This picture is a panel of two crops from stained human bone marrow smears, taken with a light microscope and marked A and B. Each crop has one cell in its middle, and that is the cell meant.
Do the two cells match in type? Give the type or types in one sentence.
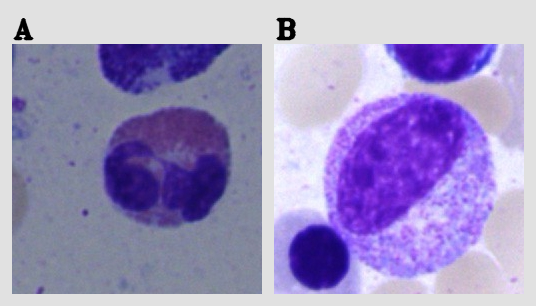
No, crop A is home to an eosinophil, and crop B to a metamyelocyte.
